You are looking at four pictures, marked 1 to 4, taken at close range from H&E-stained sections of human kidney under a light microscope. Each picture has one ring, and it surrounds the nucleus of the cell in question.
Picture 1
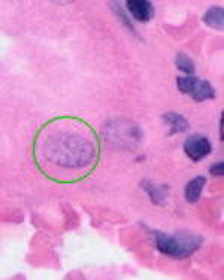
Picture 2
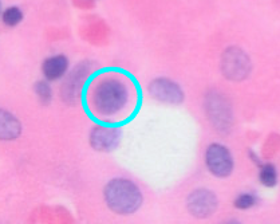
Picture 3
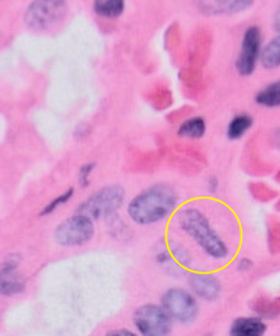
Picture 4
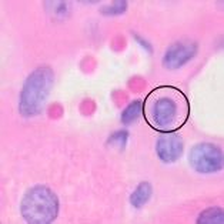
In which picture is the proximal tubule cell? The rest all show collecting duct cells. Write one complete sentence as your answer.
Picture 1 shows the proximal tubule cell.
